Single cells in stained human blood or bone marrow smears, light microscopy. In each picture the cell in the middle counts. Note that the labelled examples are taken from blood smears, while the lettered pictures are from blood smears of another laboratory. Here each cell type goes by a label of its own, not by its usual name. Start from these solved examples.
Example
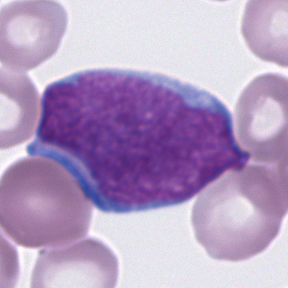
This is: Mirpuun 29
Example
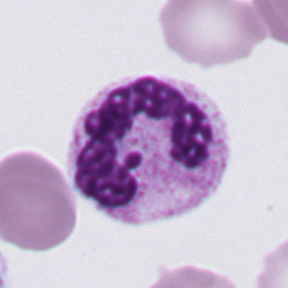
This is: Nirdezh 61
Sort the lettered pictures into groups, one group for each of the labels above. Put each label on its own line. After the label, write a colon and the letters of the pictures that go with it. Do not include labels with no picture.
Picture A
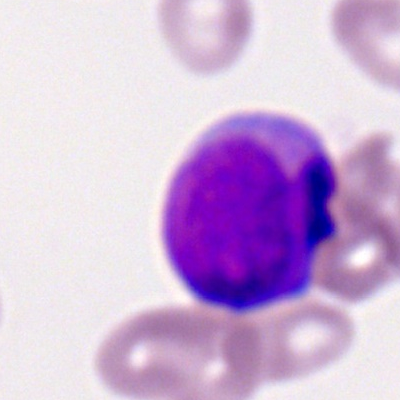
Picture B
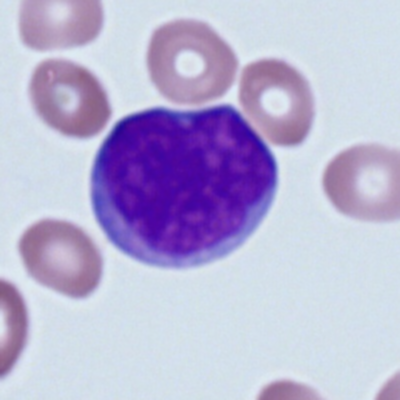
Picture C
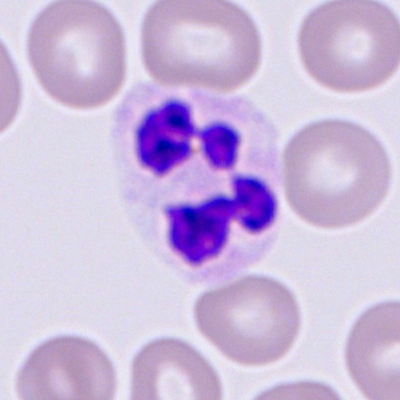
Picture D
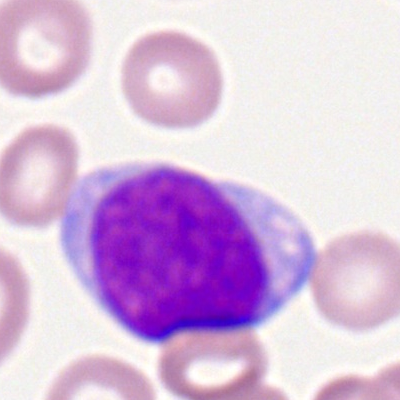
Mirpuun 29: A, B, D
Nirdezh 61: C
